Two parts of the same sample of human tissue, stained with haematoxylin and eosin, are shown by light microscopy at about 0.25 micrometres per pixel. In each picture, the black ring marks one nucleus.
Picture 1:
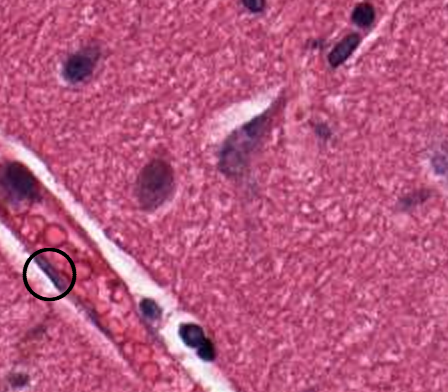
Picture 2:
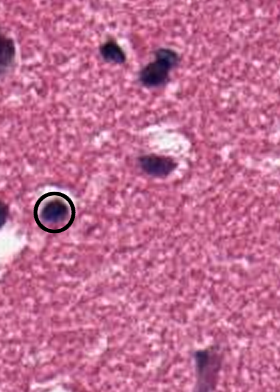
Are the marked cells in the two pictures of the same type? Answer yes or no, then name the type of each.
No, the first is an endothelial cell and the second an oligodendrocyte.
